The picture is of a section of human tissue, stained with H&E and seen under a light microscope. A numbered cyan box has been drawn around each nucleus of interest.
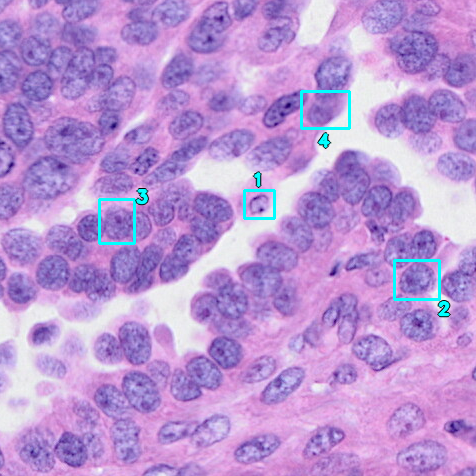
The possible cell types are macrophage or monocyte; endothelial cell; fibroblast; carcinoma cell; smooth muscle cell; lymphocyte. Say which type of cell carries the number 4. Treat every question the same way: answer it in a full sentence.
The numbered cell 4 is identified here as a carcinoma cell.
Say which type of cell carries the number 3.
Cell 3 in the field of view is a carcinoma cell.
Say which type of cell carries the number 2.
The nucleus marked 2 is the nucleus of a carcinoma cell.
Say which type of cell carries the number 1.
The cell indicated by marker 1 is a macrophage or monocyte in this section.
